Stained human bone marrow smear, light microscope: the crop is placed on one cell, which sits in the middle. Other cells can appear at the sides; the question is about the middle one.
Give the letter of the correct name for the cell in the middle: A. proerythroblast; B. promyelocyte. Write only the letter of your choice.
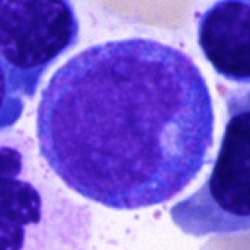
B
